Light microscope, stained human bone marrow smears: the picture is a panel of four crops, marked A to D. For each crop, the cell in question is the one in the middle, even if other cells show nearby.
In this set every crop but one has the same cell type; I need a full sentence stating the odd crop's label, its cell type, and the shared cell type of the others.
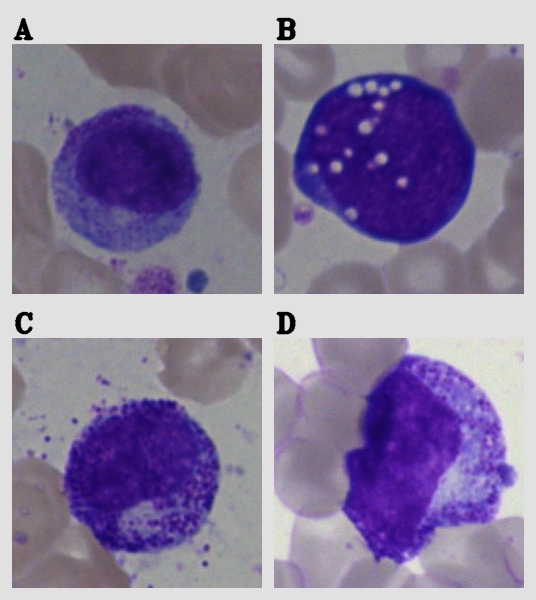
Crop B, showing a blast, is the exception; the others all show myelocytes.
